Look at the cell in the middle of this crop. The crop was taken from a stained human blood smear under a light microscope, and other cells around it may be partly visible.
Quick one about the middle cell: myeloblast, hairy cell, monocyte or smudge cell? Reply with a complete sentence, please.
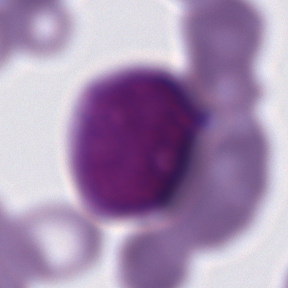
The cell positioned in the middle of the field is a smudge cell.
